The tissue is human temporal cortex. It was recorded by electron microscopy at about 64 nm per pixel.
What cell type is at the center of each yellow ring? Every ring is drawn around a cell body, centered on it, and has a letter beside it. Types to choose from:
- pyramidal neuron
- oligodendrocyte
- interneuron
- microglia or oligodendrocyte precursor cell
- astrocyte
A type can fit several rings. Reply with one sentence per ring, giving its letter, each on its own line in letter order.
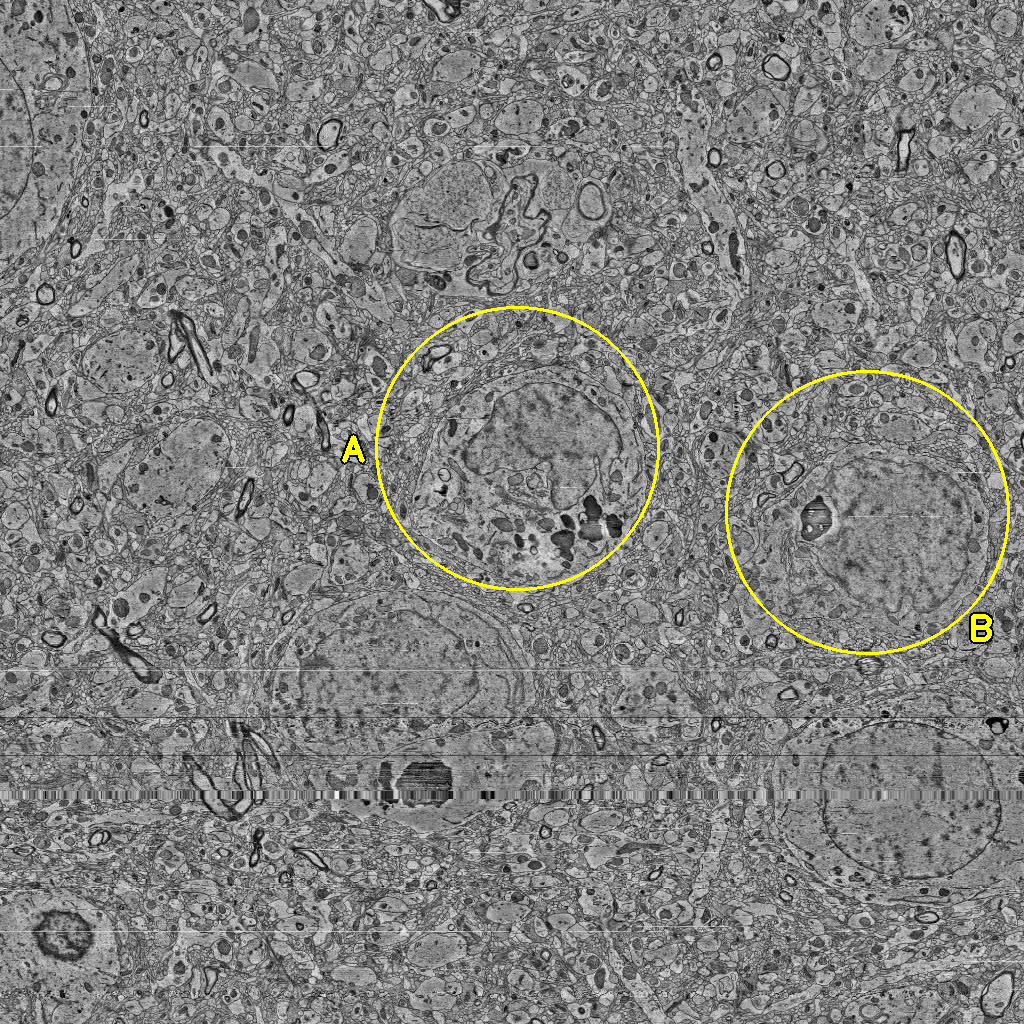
Ring A is placed around an interneuron.
Ring B is placed around an interneuron.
